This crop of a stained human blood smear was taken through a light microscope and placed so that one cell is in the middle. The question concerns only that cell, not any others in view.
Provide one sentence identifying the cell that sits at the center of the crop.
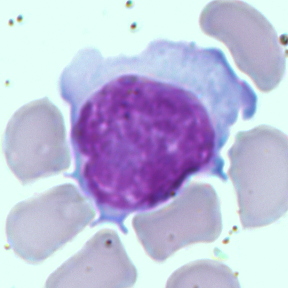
Here the centrally located cell is a plasma cell.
